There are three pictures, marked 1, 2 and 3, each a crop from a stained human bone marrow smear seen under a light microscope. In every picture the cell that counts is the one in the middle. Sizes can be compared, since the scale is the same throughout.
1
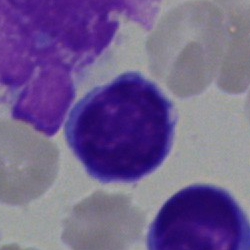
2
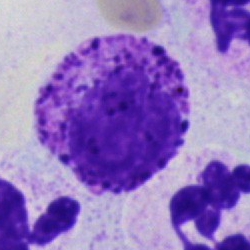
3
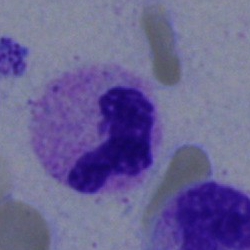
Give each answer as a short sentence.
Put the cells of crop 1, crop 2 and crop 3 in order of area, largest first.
The order is 2, 3, 1, beginning with the largest.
